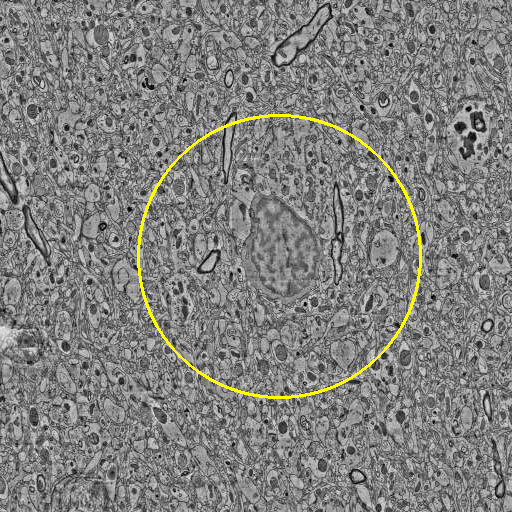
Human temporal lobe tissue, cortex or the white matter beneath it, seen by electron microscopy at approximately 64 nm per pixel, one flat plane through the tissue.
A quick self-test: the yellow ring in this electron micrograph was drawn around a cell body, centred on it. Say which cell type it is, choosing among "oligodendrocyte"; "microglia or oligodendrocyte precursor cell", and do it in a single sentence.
The yellow-ringed cell is an oligodendrocyte.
